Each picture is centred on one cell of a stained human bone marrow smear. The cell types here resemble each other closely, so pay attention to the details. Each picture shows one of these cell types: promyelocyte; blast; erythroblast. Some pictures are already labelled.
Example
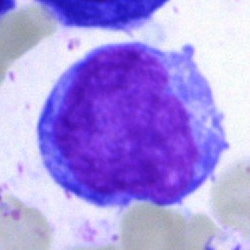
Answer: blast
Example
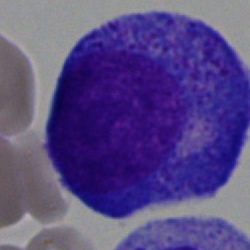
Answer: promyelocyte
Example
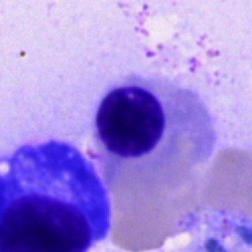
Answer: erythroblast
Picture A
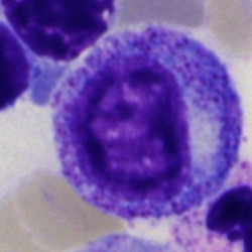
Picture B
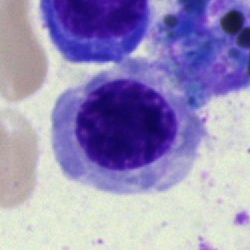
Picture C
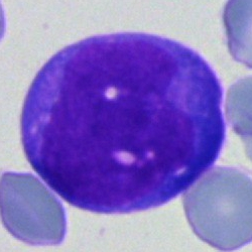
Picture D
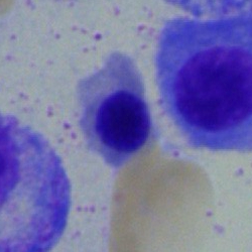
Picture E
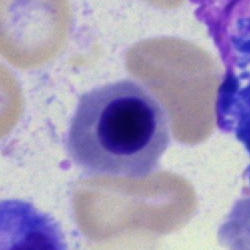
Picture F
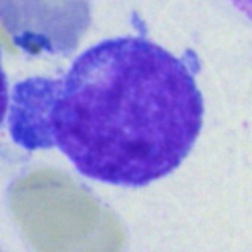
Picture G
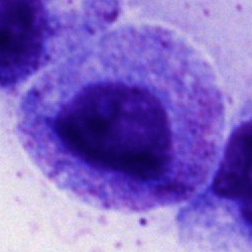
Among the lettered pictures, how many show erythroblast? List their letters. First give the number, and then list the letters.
3, namely B, D, E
